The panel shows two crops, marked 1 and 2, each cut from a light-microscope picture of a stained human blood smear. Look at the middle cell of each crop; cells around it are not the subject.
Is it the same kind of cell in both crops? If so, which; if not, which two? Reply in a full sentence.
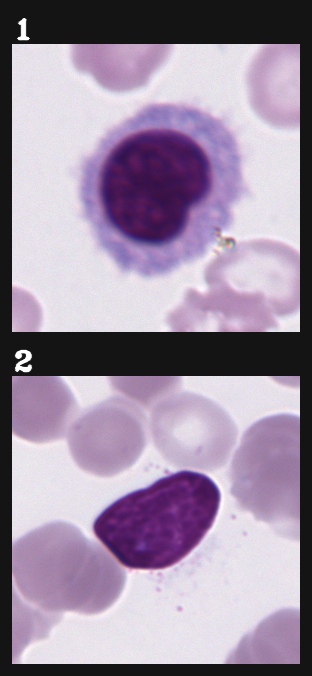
No, crop 1 captures a hairy cell, and crop 2 captures a smudge cell.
